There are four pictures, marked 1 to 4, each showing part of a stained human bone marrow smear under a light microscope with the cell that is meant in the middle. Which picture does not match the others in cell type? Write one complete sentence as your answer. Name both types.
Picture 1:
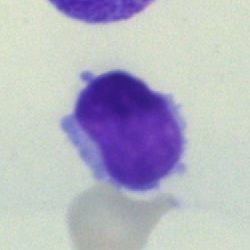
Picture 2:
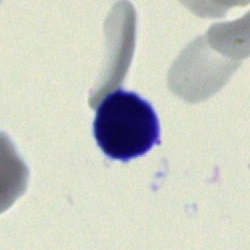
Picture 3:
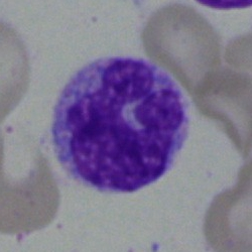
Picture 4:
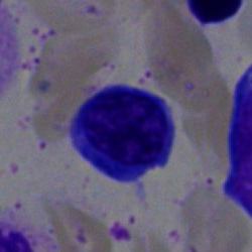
Picture 3 is the odd one out: it shows a monocyte, while the others show lymphocytes.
